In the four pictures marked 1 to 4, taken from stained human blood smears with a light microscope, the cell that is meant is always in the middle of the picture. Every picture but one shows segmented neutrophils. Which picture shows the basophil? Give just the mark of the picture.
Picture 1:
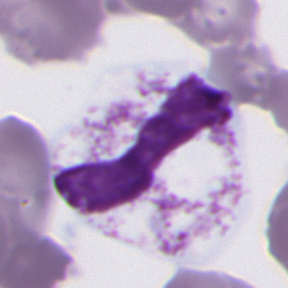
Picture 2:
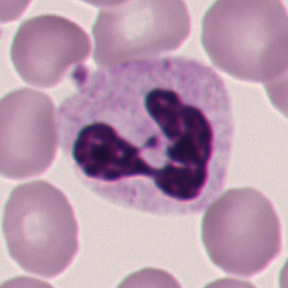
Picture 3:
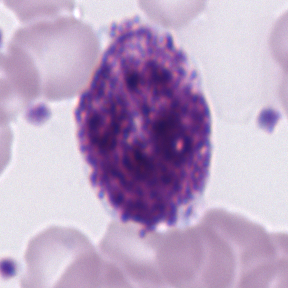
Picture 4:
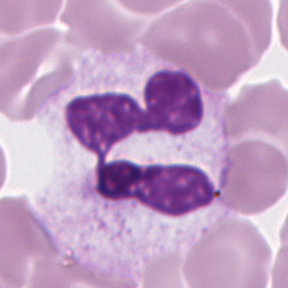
3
